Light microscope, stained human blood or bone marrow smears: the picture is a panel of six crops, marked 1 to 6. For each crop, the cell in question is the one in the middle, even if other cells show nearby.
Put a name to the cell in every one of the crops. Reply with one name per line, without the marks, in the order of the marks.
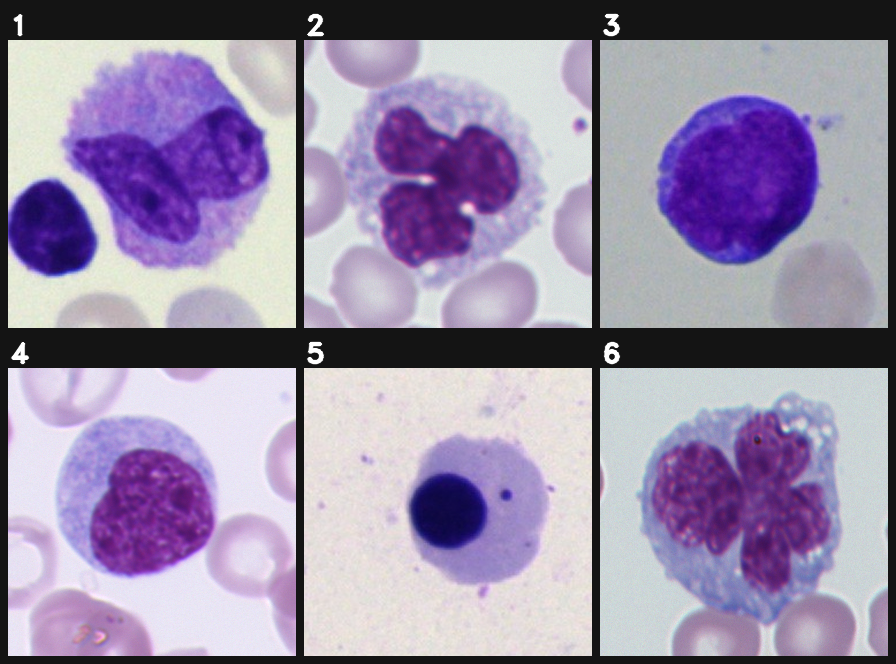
monocyte
monocyte
blast
monocyte
erythroblast
monocyte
